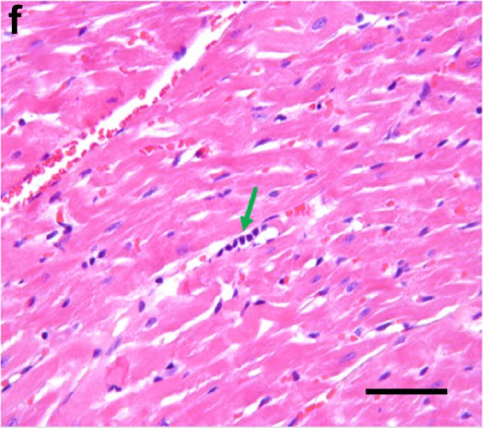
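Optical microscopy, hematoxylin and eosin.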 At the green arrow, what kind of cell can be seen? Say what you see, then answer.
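Lymphocytes. A small cluster of small, round, dark-blue nuclei with scant cytoplasm lies between the muscle fibres. These nuclei are much smaller and rounder than the oval nuclei of the muscle fibres.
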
